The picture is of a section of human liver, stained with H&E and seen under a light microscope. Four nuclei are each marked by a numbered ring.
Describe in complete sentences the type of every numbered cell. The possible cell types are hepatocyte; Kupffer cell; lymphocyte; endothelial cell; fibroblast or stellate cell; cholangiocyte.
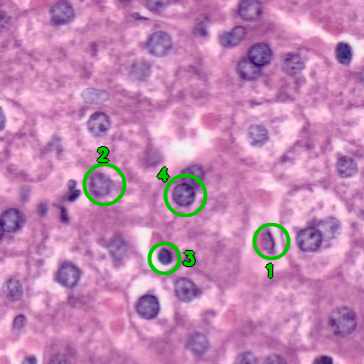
Cell 1 is a Kupffer cell. Cells 2 and 4 are hepatocytes. Cell 3 is a lymphocyte.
